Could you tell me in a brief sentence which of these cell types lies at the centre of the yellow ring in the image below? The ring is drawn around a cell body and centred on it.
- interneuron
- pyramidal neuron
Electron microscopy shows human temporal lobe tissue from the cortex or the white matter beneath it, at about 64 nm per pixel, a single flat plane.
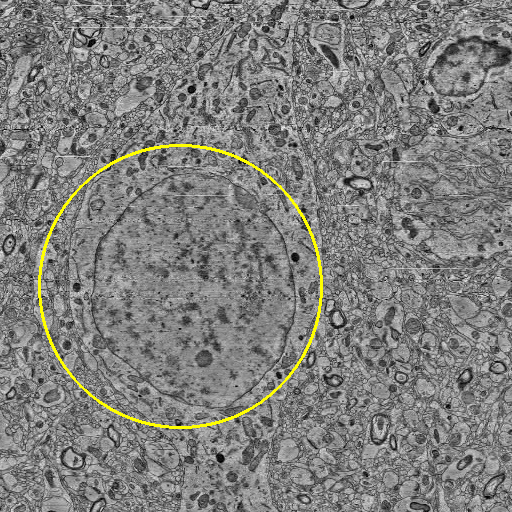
The cell centred in the ring is an interneuron.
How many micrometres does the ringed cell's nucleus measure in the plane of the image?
The nucleus of the ringed cell is approximately 16 by 13 micrometres in this plane.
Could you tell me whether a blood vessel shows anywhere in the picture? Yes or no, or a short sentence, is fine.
No, a blood vessel is absent from this picture.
